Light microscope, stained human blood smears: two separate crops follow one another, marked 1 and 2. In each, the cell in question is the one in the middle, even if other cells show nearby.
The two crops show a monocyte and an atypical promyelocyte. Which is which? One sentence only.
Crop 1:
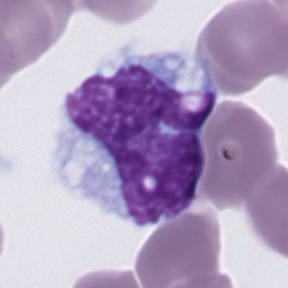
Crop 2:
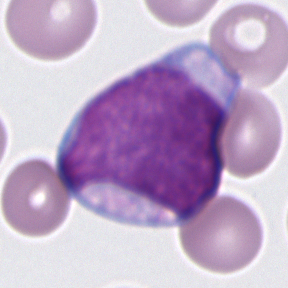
At the centre of crop 1 lies a monocyte, and at the centre of crop 2 lies an atypical promyelocyte.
